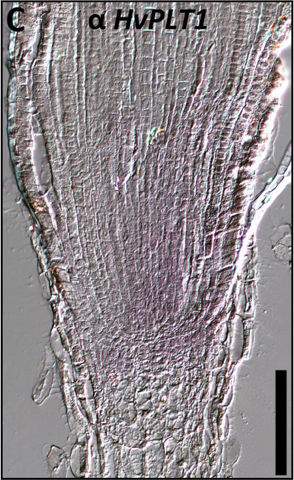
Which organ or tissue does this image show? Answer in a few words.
Root meristem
